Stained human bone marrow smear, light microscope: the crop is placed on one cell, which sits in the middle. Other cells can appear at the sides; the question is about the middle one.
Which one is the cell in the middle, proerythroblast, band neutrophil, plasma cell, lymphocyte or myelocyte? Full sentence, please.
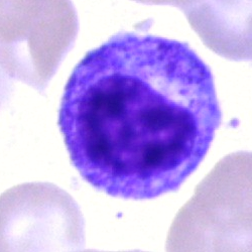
In this smear crop, the middle cell is a myelocyte.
